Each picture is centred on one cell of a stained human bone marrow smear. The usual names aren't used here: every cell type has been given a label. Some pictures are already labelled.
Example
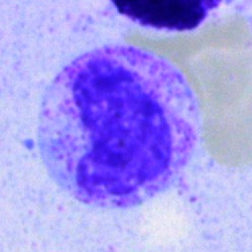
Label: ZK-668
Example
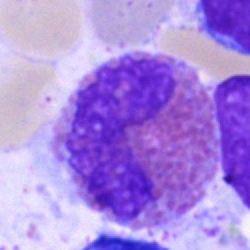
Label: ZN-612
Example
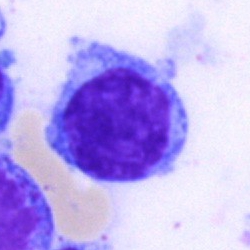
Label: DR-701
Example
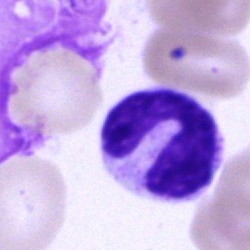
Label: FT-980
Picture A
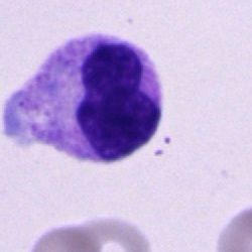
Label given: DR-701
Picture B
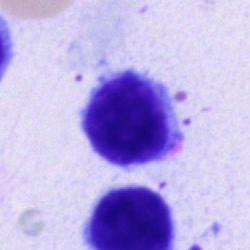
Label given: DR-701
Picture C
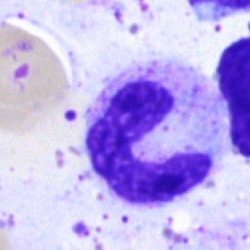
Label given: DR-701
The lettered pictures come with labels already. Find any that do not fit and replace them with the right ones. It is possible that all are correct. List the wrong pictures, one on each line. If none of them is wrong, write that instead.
A: not DR-701 but ZK-668
C: not DR-701 but FT-980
